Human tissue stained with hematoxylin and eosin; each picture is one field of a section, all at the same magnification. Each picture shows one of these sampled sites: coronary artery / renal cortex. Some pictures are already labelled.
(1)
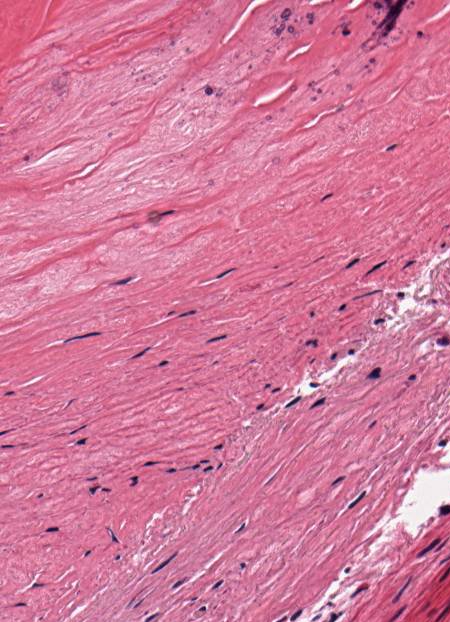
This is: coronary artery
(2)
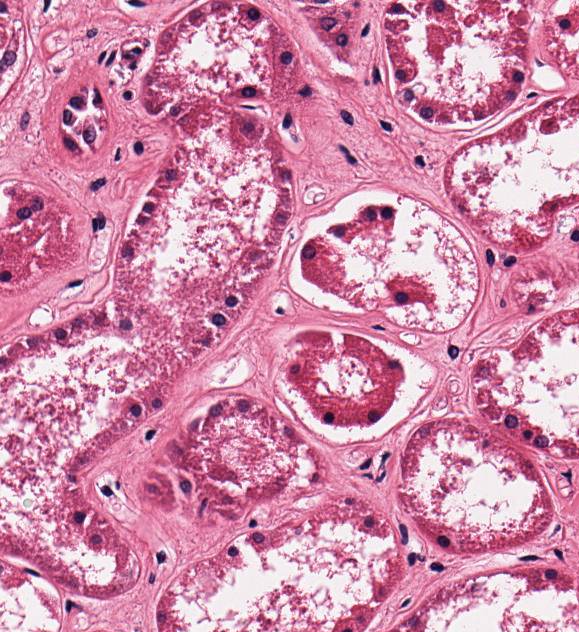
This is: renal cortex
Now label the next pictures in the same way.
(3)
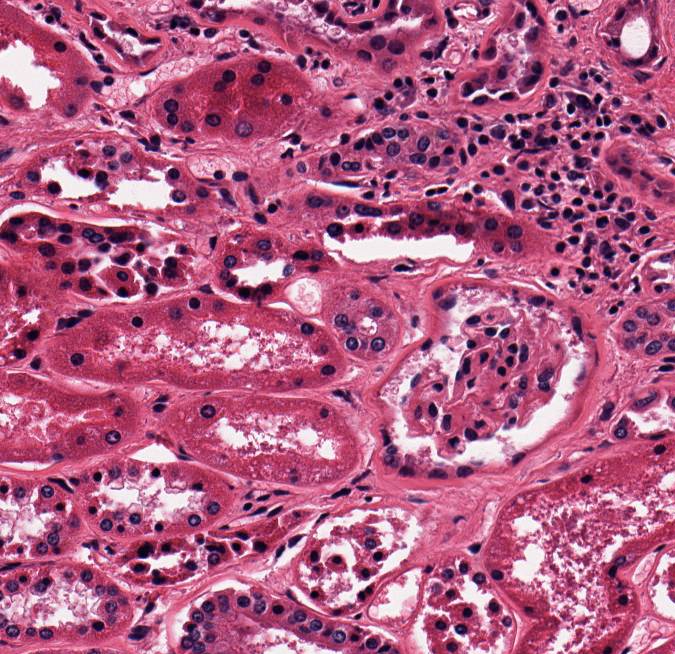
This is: renal cortex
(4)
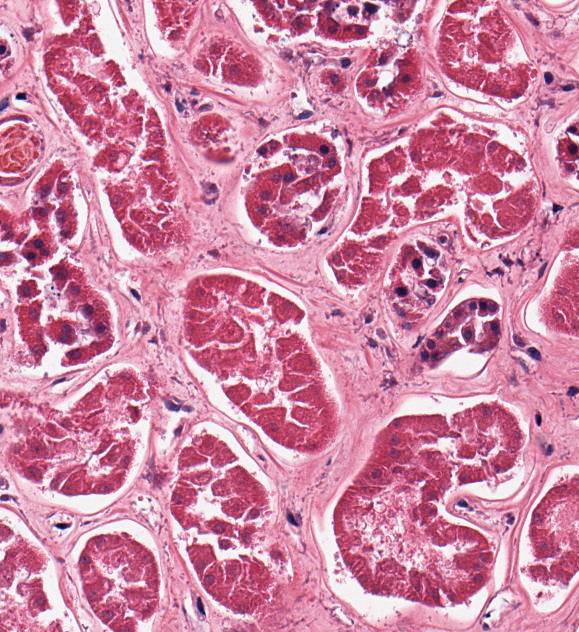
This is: renal cortex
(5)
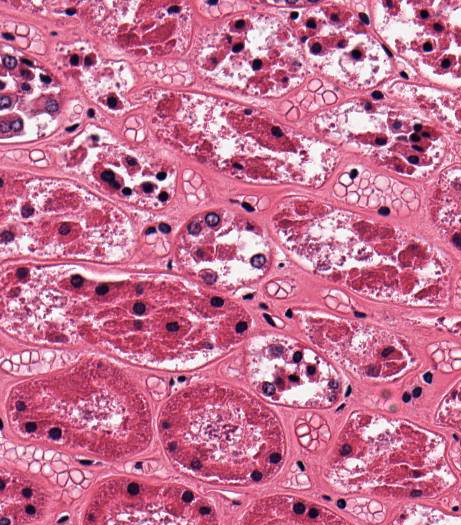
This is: renal cortex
